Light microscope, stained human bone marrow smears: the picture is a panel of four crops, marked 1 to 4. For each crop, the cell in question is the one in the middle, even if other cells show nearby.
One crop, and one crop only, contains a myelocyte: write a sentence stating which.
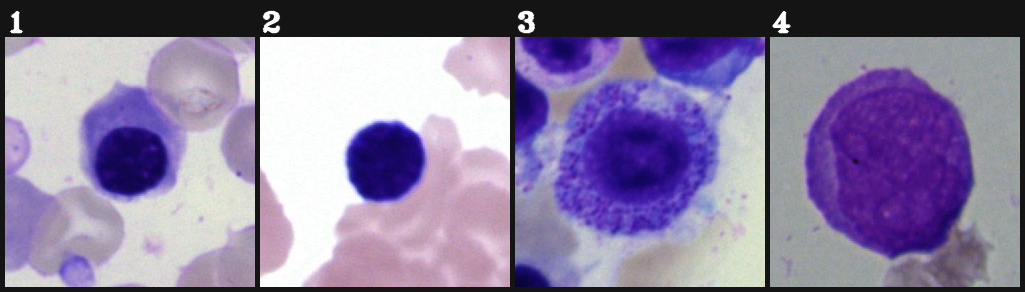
The one crop that shows a myelocyte is crop 3.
